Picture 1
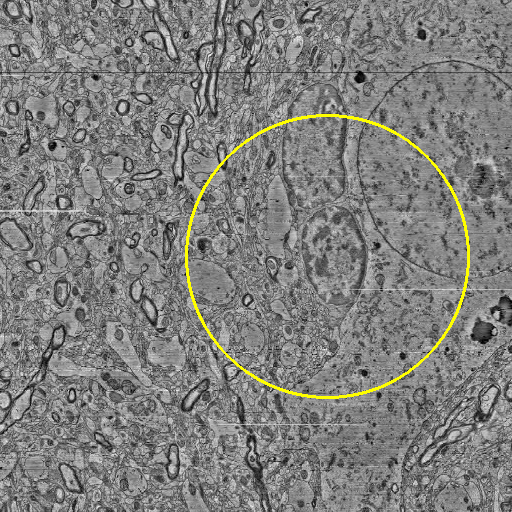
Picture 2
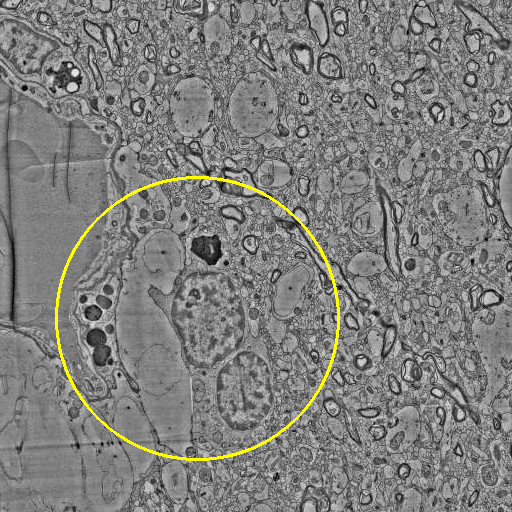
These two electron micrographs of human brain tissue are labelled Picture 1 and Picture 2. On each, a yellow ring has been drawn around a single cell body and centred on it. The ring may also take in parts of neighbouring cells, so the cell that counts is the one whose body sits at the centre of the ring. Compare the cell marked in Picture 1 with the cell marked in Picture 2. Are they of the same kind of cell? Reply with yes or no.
yes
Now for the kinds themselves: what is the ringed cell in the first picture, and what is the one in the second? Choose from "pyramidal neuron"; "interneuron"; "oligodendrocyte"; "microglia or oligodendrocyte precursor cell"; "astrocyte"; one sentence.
Each of the two rings is centred on an oligodendrocyte.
